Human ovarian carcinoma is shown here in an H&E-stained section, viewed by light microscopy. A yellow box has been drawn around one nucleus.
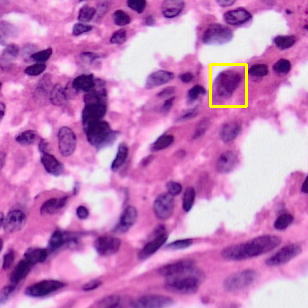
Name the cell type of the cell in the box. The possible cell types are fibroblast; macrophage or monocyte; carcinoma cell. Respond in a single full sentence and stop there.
The cell type represented by the cell in the box is that of a carcinoma cell.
